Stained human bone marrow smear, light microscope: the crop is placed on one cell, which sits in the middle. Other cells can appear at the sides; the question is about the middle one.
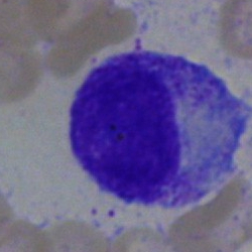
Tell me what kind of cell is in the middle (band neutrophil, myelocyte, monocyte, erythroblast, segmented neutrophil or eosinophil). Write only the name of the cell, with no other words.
myelocyte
